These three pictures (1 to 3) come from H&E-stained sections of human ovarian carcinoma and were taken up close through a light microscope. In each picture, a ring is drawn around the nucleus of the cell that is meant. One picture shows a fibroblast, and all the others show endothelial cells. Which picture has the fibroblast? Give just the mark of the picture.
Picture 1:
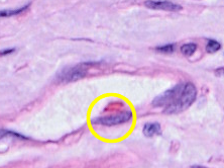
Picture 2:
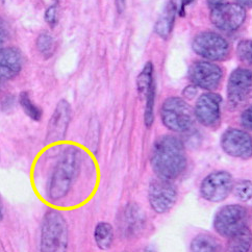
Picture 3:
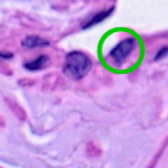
2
